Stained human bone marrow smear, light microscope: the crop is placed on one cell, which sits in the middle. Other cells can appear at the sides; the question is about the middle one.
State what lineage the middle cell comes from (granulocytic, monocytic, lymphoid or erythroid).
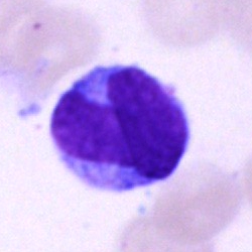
monocytic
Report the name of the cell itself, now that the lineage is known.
monocyte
